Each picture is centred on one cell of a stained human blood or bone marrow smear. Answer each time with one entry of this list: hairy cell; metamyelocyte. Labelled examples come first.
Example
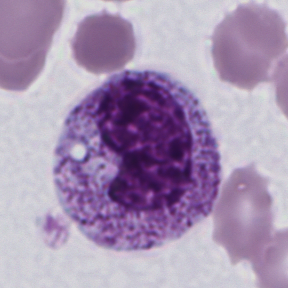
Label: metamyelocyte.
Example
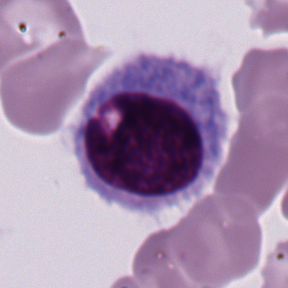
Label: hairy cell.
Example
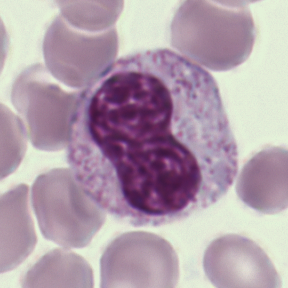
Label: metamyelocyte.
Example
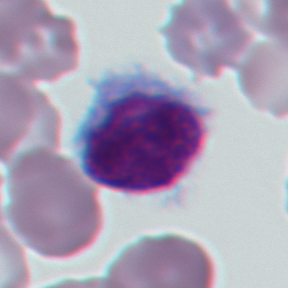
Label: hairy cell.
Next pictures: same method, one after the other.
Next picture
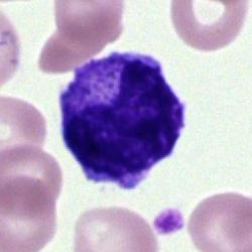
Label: metamyelocyte.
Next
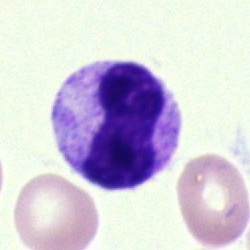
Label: metamyelocyte.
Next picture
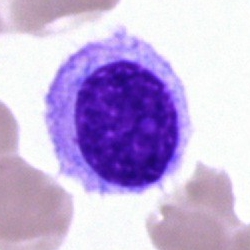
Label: hairy cell.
